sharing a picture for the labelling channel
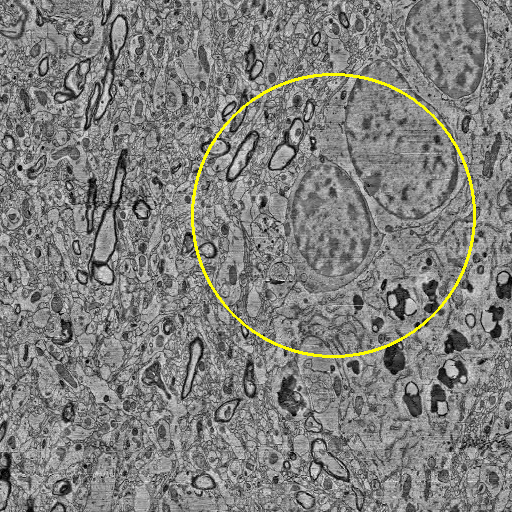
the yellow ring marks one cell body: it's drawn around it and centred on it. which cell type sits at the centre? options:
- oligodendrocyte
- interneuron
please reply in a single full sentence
In the picture, the cell at the ring's centre is an oligodendrocyte, going by the list.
